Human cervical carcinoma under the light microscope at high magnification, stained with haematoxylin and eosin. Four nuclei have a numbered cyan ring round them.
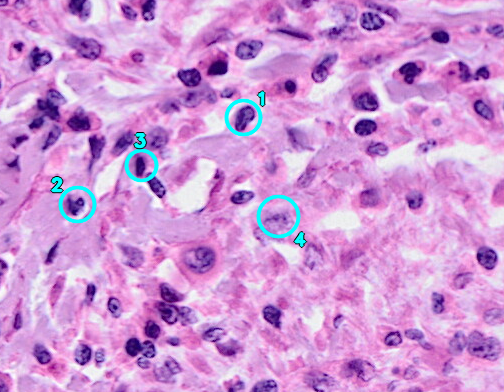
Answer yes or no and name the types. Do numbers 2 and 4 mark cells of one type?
No, that's wrong; cell 2 is a lymphocyte and cell 4 is a fibroblast.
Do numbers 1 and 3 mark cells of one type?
Yes, briefly put, cells 1 and 3 are both lymphocytes.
